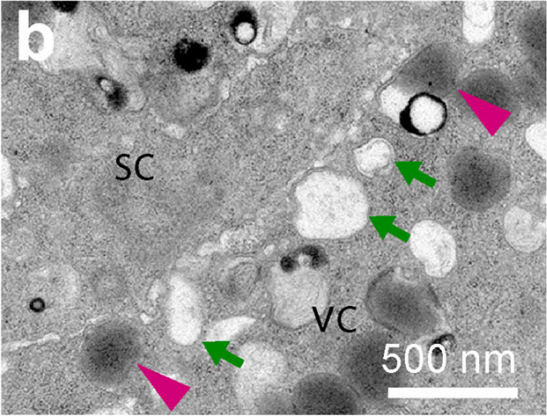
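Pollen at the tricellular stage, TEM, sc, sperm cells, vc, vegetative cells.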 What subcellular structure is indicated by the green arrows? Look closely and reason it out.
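Vacuoles. The marked compartments are pale and electron-lucent. They have rounded to irregular membrane-bounded outlines. Some contain faint wispy material.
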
